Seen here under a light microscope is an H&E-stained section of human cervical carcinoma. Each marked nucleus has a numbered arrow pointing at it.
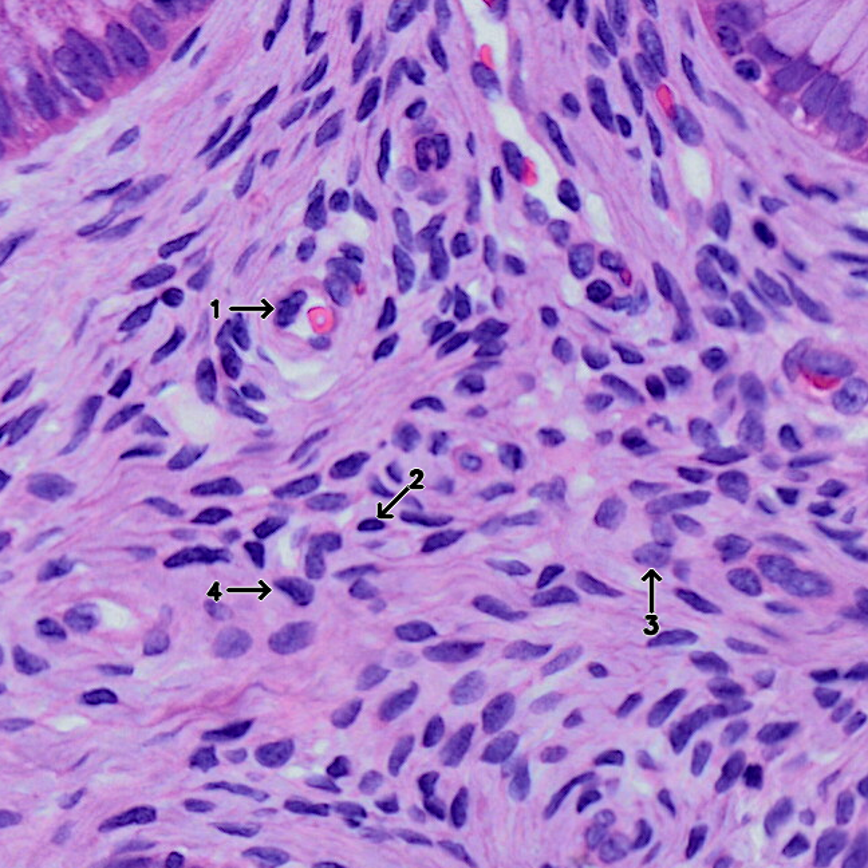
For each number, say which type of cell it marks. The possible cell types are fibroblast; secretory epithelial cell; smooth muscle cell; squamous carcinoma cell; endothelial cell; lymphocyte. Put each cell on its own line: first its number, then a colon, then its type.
1: endothelial cell
2: fibroblast
3: fibroblast
4: fibroblast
